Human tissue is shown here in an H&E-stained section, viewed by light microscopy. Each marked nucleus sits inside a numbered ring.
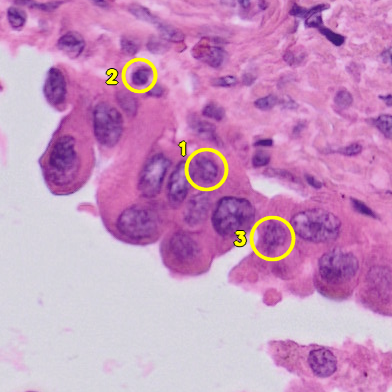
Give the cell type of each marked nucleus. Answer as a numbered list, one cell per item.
1. carcinoma cell
2. lymphocyte
3. carcinoma cell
